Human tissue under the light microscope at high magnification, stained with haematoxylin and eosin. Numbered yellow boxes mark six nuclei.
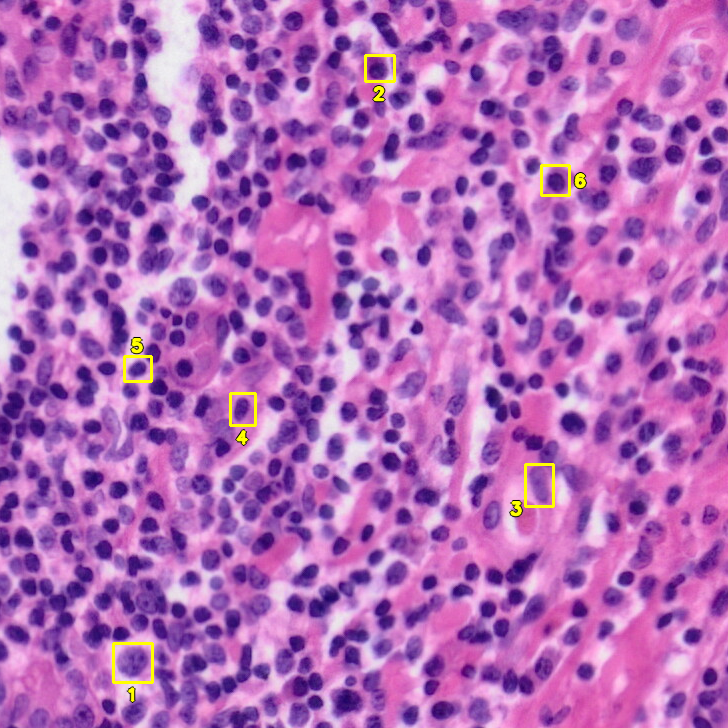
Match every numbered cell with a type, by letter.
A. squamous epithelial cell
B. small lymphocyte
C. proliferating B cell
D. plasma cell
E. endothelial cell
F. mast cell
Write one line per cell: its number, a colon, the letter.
1: C
2: D
3: E
4: E
5: B
6: D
